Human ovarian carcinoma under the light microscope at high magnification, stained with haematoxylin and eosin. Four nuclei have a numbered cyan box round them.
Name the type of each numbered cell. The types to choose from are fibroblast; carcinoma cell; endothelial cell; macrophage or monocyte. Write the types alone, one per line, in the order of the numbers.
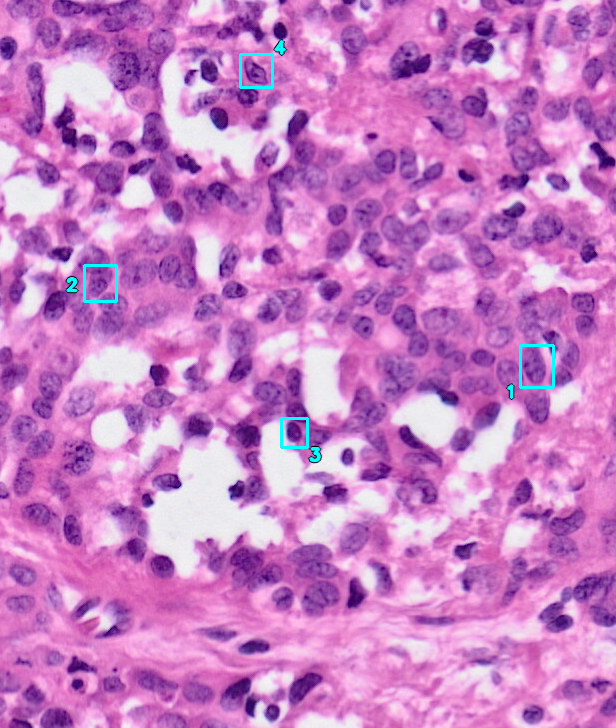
carcinoma cell
carcinoma cell
carcinoma cell
macrophage or monocyte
